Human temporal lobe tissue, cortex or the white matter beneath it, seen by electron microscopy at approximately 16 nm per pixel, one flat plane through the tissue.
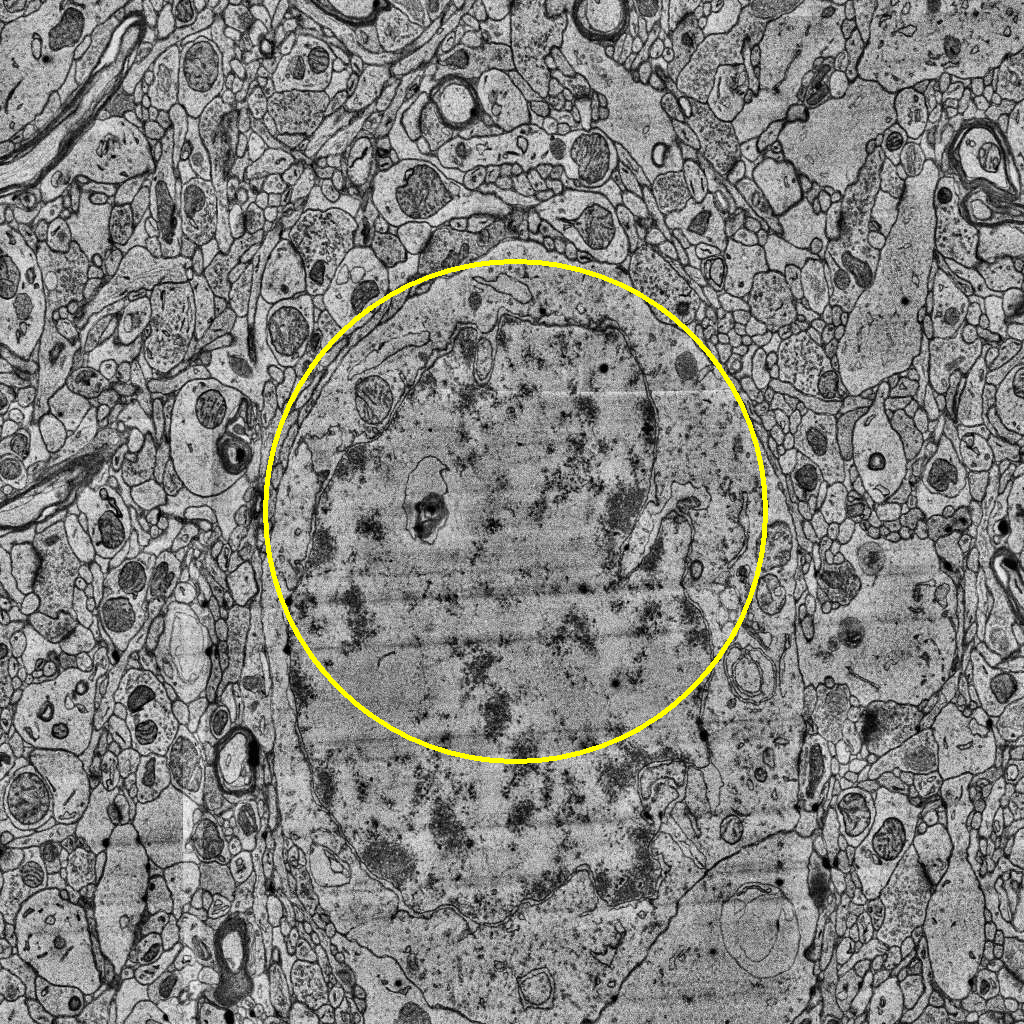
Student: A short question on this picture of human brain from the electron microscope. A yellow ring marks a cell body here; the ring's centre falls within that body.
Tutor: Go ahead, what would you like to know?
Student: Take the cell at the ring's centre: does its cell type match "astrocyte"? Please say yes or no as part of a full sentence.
No, the cell found at the ring's centre in the picture has another cell type.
